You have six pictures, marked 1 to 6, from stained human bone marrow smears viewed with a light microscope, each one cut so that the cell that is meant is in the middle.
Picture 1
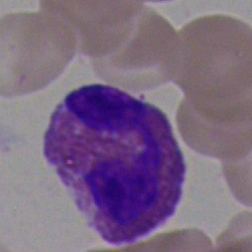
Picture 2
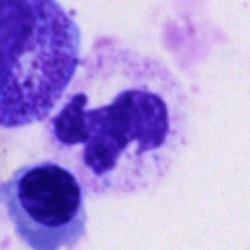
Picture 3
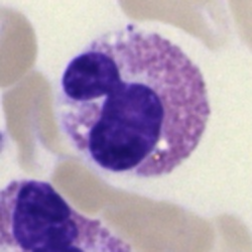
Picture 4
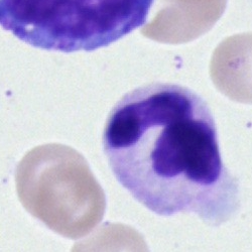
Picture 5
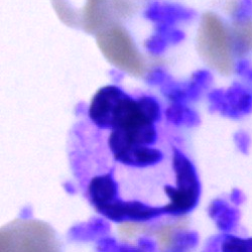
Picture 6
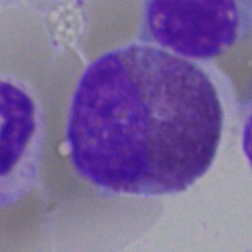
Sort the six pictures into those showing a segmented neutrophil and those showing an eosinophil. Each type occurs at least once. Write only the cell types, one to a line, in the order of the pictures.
eosinophil
segmented neutrophil
eosinophil
segmented neutrophil
segmented neutrophil
eosinophil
